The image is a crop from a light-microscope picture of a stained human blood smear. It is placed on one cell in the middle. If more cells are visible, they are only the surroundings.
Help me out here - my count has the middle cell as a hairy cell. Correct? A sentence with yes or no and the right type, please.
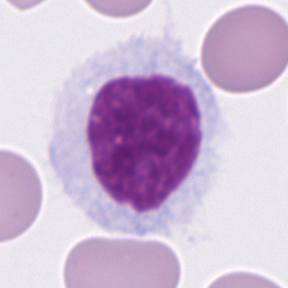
Yes, the middle cell is classified as a hairy cell.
